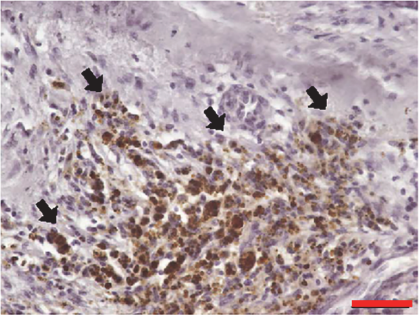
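Between and around them are unstained stromal cells with elongated blue nuclei. Above the patch the stroma is looser and paler, with few brown cells.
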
